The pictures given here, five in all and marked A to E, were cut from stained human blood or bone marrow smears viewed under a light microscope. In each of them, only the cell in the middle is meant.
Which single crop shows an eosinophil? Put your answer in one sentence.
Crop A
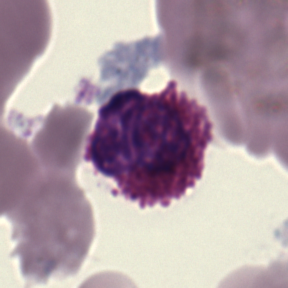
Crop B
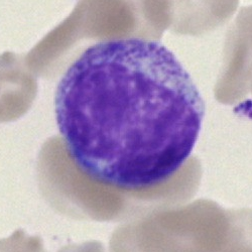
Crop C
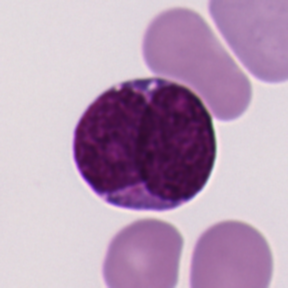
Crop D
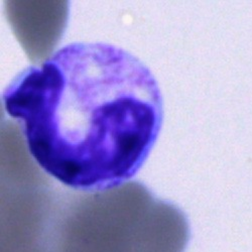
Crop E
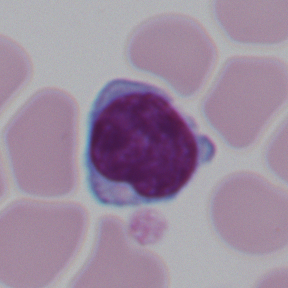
Of all the crops, crop A is the one showing an eosinophil.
